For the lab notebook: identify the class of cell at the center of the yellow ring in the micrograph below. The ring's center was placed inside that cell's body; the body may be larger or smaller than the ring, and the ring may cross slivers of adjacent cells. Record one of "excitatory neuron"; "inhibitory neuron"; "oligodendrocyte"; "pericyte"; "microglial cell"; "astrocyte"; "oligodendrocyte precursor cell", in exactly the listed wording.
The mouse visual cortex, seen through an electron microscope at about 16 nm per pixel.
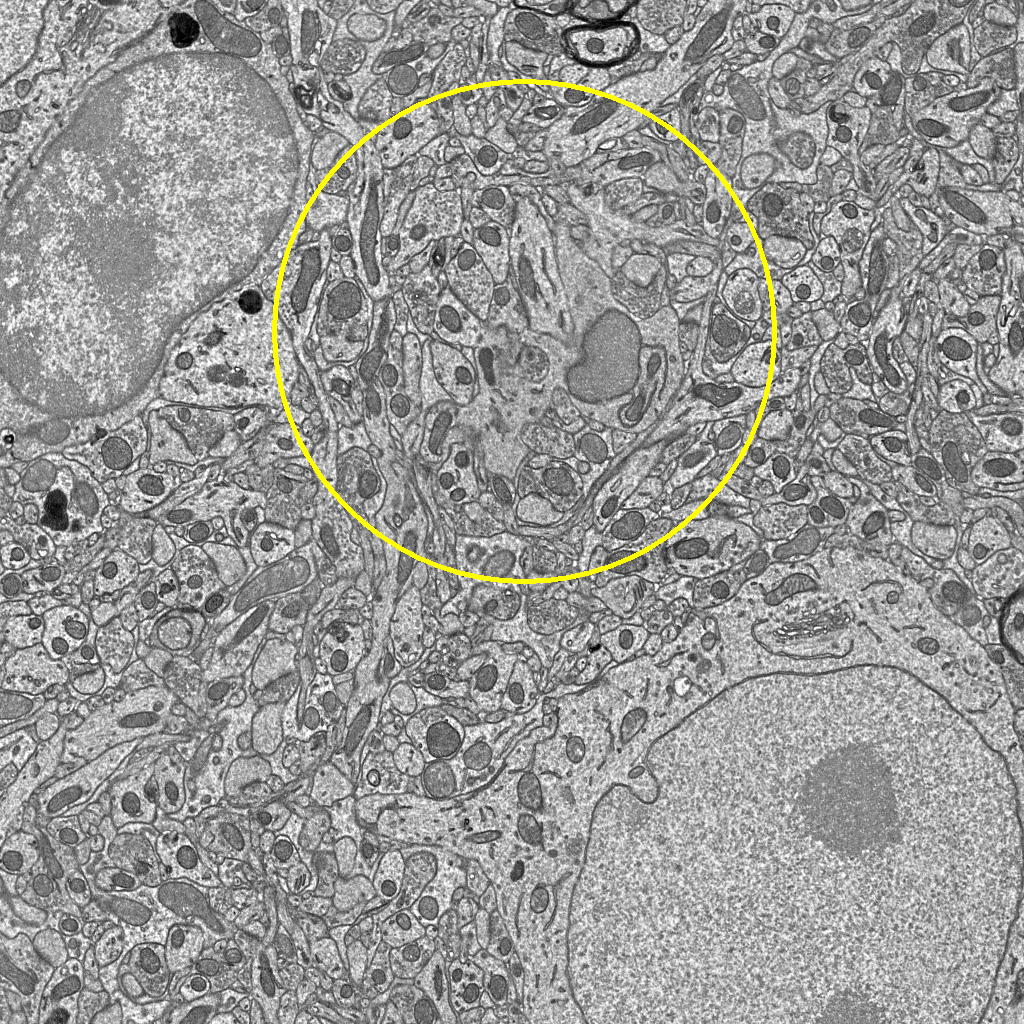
microglial cell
